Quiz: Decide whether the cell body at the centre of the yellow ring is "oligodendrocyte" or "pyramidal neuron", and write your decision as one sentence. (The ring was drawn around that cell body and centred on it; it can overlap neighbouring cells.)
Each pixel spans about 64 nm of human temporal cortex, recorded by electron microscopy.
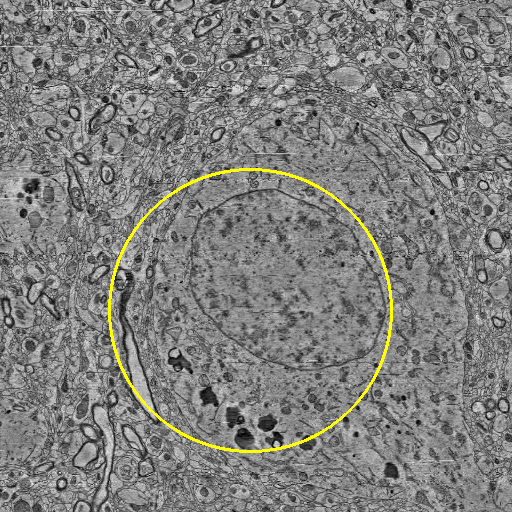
The cell the ring is centred on is a pyramidal neuron.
